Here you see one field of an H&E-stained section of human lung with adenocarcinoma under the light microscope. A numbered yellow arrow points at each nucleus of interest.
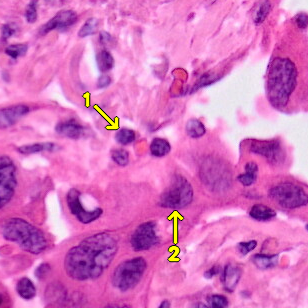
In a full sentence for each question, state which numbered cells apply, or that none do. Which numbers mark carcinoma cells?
Being a carcinoma cell is true of cell 2 and of no other numbered cell.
